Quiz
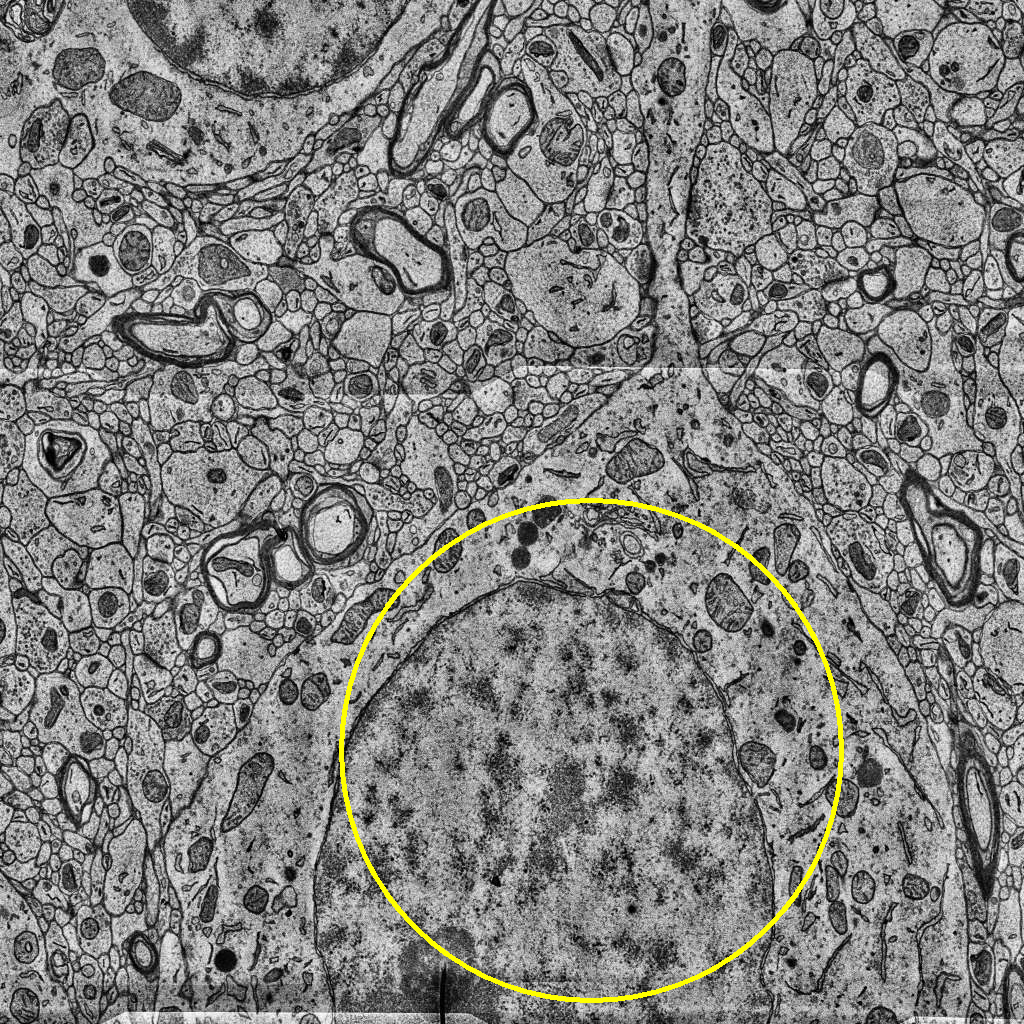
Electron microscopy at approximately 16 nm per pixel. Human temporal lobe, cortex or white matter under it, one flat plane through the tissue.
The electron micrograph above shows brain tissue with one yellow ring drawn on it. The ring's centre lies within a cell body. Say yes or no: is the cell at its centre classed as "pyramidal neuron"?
no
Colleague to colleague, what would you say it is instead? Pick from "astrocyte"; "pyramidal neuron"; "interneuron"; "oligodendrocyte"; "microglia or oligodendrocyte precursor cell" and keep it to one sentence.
As it turns out, the cell at the ring centre is an interneuron.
